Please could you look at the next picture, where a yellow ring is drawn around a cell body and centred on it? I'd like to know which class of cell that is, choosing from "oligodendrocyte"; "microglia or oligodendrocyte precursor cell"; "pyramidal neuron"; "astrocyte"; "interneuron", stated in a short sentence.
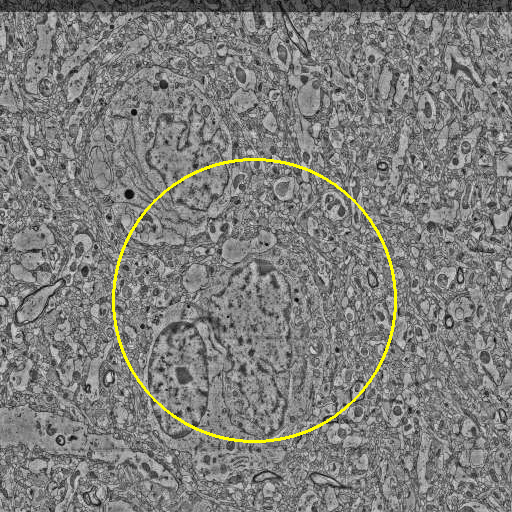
The ring's centre lies on an interneuron.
